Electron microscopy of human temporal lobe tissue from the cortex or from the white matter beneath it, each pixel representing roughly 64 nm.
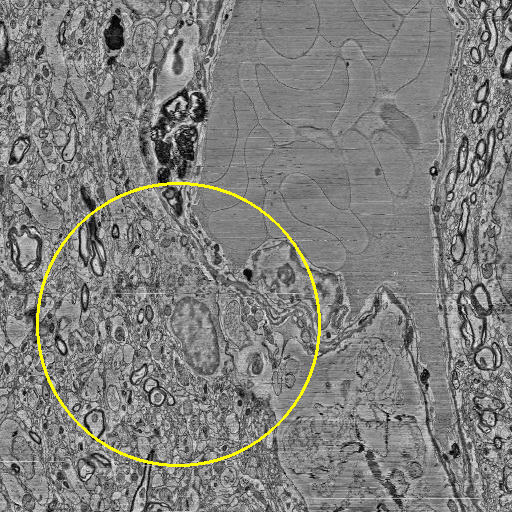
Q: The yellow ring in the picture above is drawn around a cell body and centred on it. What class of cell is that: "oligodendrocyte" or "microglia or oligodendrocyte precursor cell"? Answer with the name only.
oligodendrocyte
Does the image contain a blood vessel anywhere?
Yes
